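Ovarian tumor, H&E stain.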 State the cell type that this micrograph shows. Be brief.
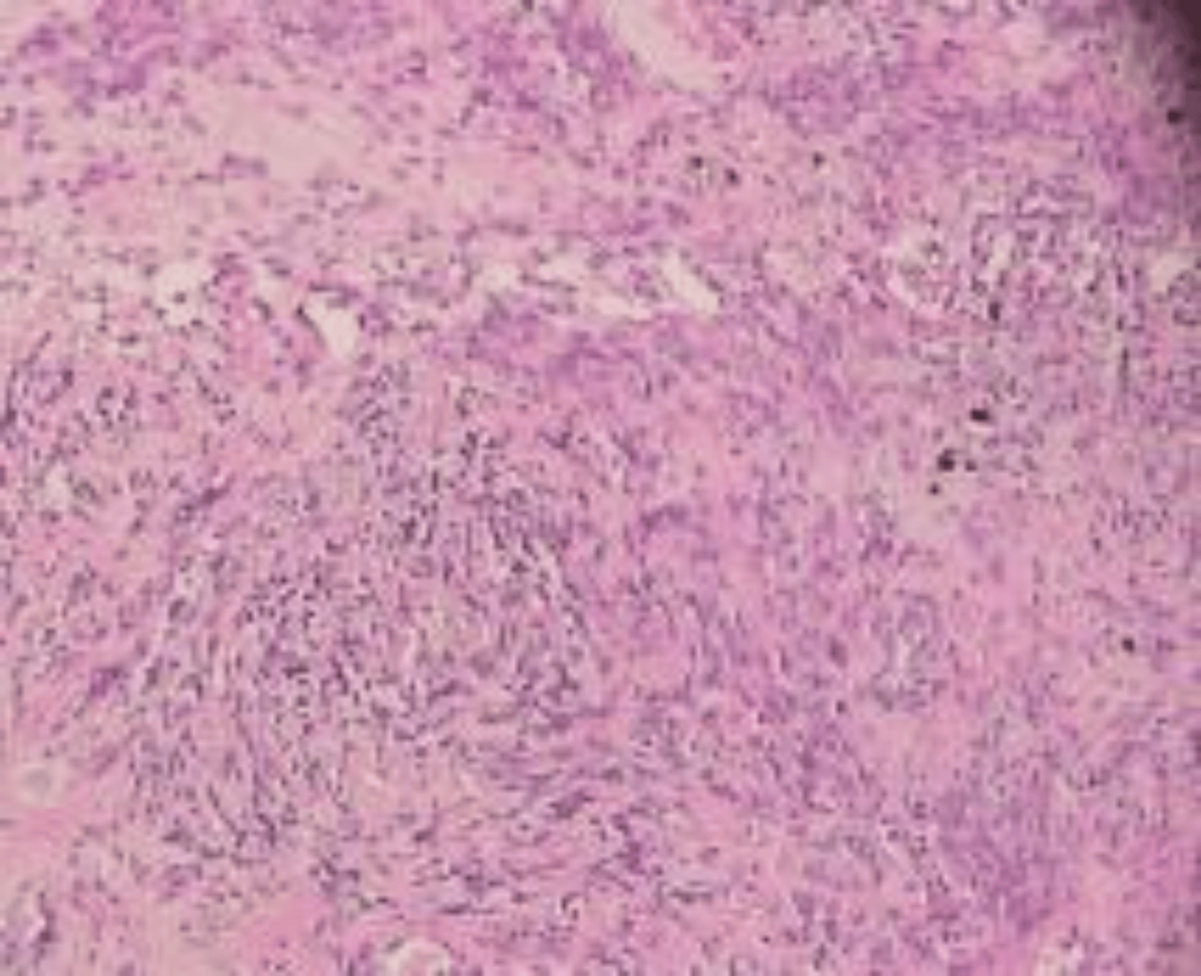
epithelioid to spindle-shaped cells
